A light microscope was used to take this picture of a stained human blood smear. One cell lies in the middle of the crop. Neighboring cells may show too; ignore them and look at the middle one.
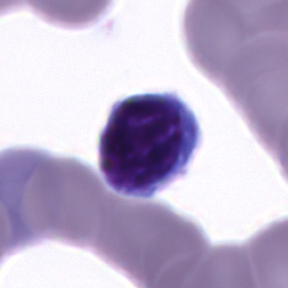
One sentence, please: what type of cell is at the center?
Regarding the central cell, it is a plasma cell.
